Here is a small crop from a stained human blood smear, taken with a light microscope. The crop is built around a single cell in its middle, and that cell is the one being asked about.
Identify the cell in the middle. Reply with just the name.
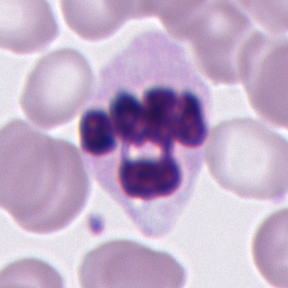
segmented neutrophil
